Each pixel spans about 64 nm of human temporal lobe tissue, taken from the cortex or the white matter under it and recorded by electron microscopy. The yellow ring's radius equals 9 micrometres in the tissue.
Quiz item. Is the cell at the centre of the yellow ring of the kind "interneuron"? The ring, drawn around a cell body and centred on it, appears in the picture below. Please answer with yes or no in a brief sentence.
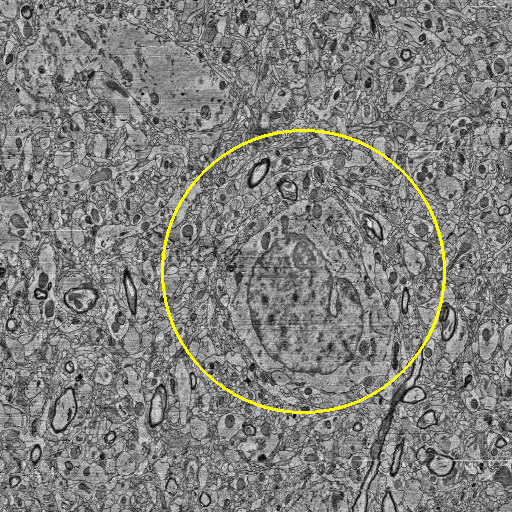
Yes, it is that kind of cell.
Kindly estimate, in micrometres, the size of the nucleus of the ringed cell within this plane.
In this plane, approximately 9 by 7 micrometers.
